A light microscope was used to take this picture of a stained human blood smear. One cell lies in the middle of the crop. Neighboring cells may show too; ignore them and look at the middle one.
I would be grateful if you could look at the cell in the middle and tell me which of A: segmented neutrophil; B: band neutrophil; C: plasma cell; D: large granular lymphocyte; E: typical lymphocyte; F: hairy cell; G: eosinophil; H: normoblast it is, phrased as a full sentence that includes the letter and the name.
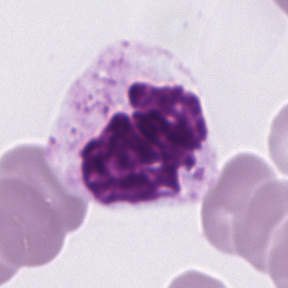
The cell at the heart of the crop is a segmented neutrophil, so choose option A.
